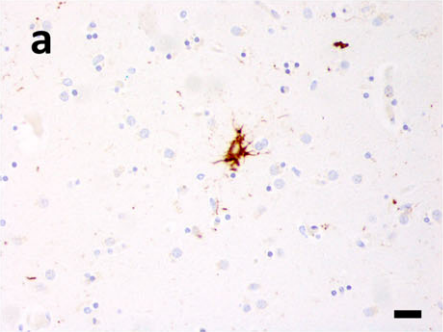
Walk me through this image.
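Brain tissue shows a single tufted astrocyte stained dark brown at the centre of the field. From its cell body many short, brown, branching processes radiate outward, giving a star-like, tufted appearance. The surrounding neuropil is pale and contains scattered small round blue nuclei without brown staining. A few thin brown threads and small brown dots lie scattered in the background.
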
